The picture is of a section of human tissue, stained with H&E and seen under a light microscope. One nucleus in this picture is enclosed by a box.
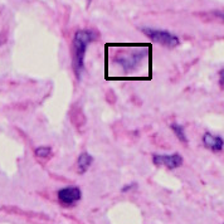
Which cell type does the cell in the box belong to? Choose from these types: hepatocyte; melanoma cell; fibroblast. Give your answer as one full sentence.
Assigned to a cell type, the cell in the box is a fibroblast.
